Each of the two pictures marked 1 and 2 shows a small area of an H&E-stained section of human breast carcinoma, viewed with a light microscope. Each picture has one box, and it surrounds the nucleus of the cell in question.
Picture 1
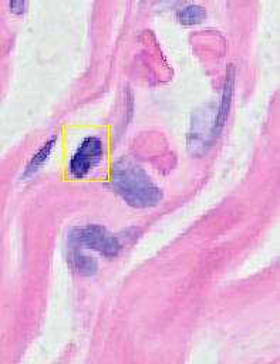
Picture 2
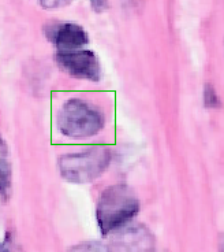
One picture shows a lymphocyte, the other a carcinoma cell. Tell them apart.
1: lymphocyte
2: carcinoma cell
